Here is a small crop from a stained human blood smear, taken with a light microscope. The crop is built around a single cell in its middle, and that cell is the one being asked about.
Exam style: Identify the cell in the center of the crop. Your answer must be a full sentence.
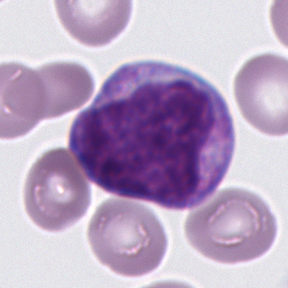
The centrally located cell in the crop is an atypical promyelocyte.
